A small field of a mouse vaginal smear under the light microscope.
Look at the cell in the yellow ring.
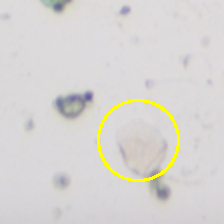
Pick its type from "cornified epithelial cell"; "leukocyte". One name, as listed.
cornified epithelial cell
